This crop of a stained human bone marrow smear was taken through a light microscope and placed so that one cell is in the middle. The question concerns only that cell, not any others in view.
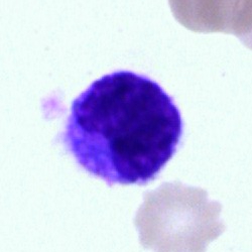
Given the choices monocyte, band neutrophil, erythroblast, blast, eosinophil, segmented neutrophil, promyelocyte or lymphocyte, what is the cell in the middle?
lymphocyte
